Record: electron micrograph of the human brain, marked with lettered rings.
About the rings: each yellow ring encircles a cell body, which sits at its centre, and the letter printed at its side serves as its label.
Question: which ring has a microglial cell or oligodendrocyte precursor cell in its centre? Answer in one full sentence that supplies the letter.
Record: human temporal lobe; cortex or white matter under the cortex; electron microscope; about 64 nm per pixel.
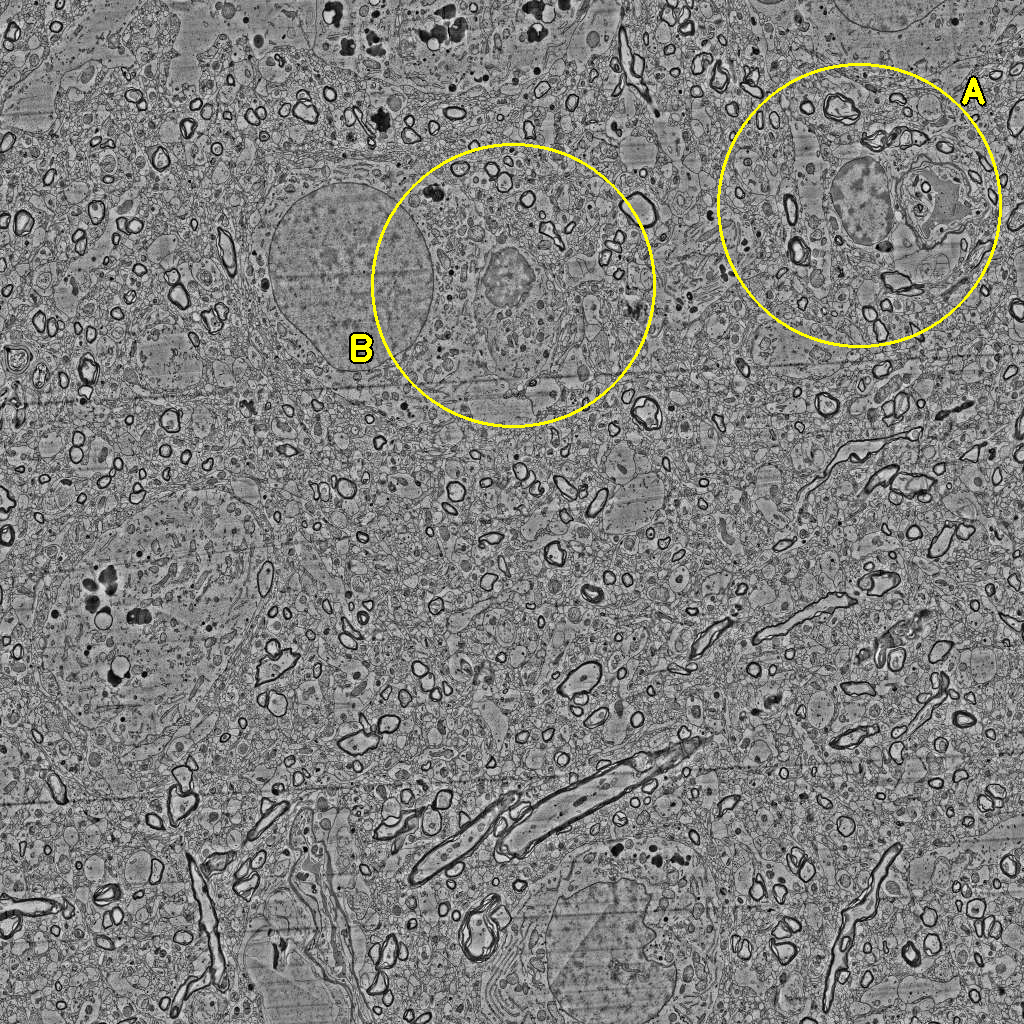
Within the picture, a cell of that kind is centred inside the ring marked A.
